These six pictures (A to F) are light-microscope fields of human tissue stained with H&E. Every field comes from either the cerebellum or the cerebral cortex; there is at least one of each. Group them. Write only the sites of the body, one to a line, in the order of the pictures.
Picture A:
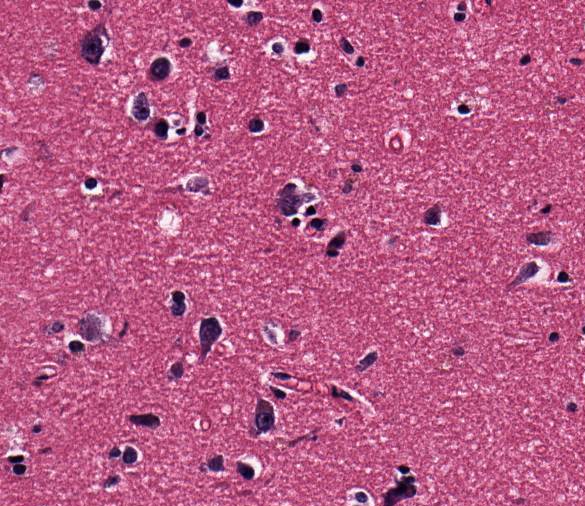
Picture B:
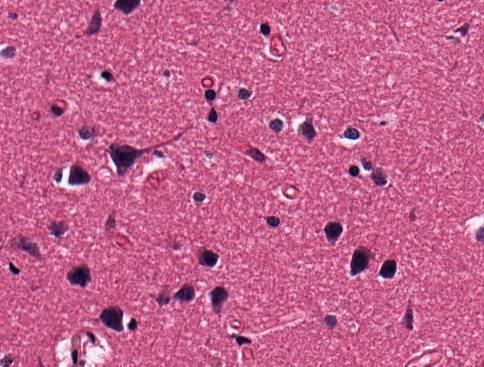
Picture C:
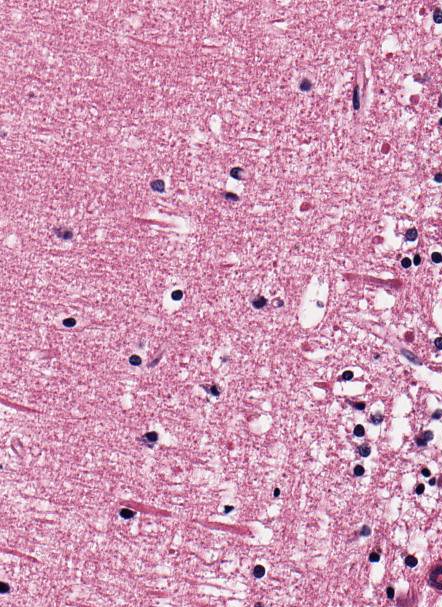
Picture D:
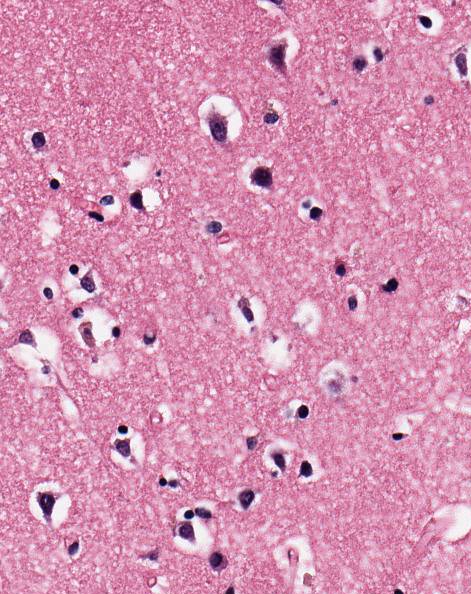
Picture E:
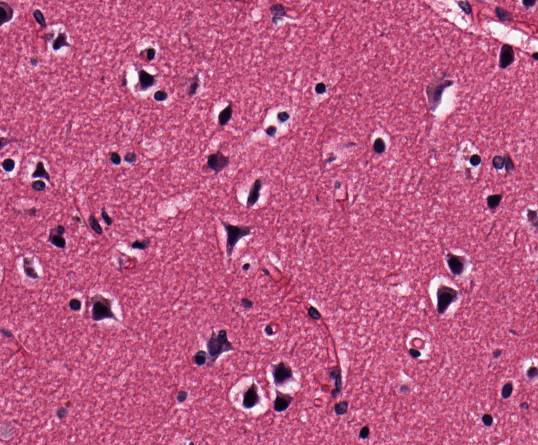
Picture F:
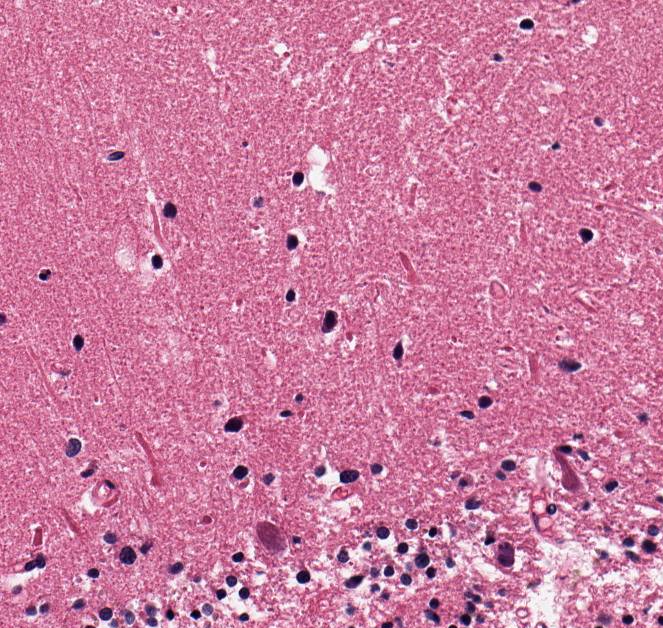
cerebral cortex
cerebral cortex
cerebellum
cerebral cortex
cerebral cortex
cerebellum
